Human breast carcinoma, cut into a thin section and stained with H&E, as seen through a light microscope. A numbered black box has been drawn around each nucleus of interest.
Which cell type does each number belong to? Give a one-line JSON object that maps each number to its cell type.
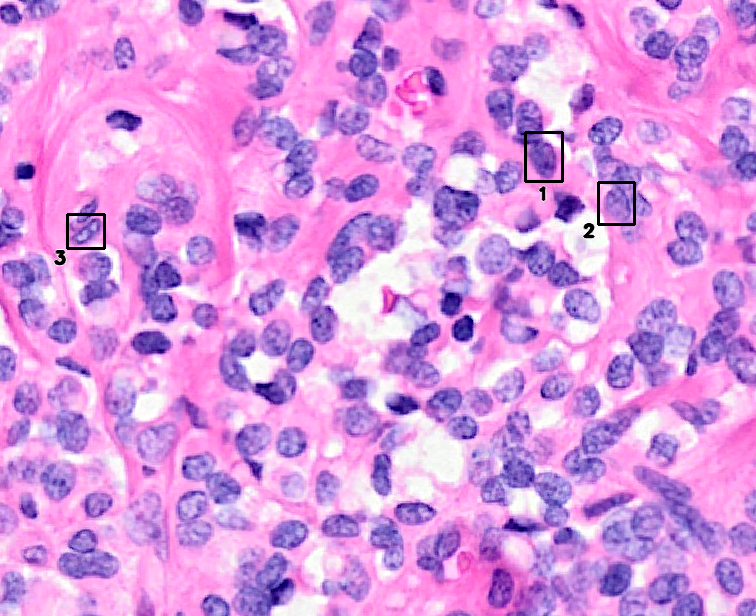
{"1": "carcinoma cell", "2": "carcinoma cell", "3": "endothelial cell"}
